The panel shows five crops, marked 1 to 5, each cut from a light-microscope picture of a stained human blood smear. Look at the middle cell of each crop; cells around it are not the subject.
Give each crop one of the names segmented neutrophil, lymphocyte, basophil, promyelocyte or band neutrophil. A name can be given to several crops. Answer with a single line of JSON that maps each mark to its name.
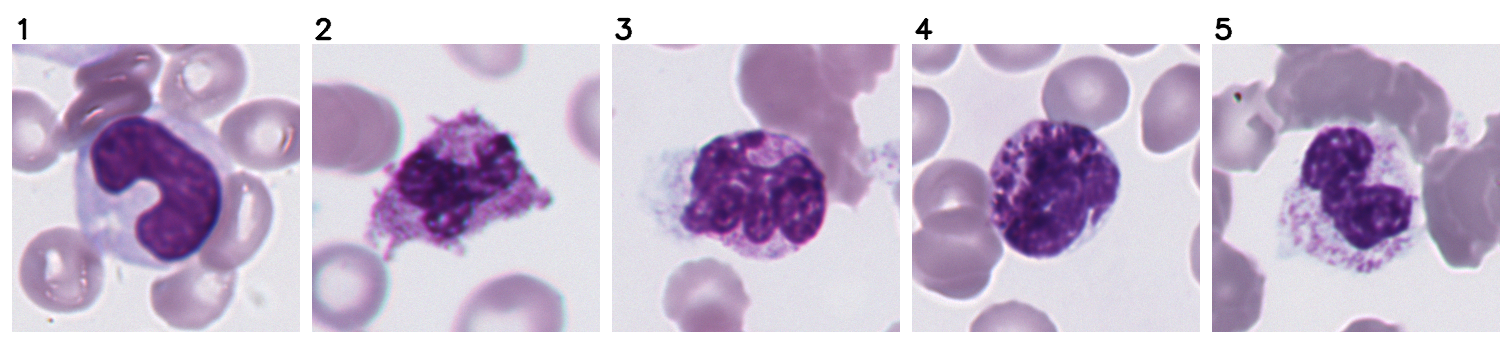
{"1": "band neutrophil", "2": "basophil", "3": "segmented neutrophil", "4": "basophil", "5": "segmented neutrophil"}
